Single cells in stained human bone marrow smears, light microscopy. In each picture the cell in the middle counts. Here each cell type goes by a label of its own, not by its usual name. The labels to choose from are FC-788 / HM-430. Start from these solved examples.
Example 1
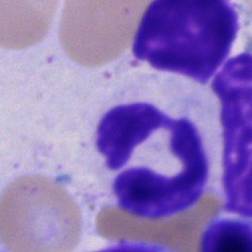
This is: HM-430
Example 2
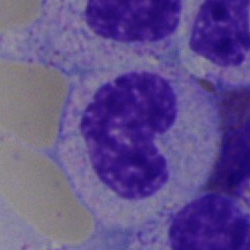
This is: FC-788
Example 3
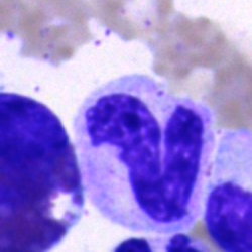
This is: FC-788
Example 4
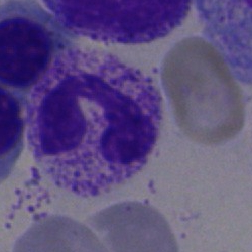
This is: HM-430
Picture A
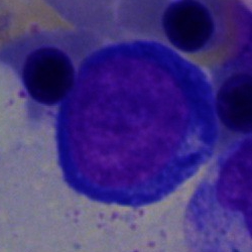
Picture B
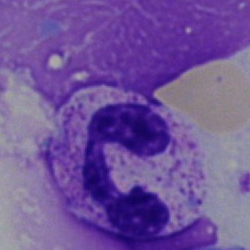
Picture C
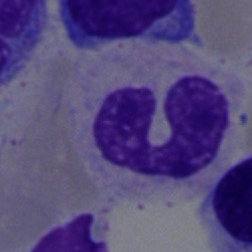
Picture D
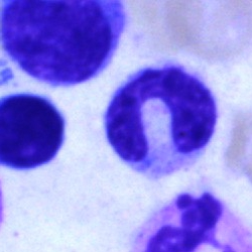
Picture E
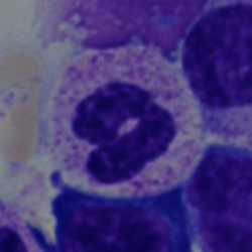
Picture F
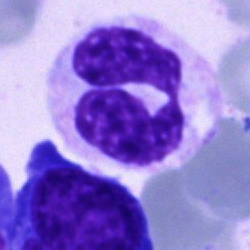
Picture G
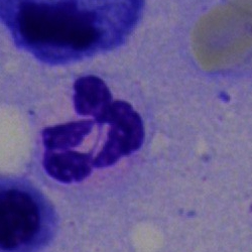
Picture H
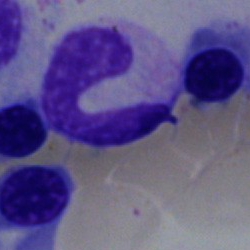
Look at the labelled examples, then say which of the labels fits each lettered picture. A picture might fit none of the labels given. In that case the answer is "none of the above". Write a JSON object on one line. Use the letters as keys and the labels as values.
{"A": "none of the above", "B": "HM-430", "C": "FC-788", "D": "FC-788", "E": "HM-430", "F": "HM-430", "G": "HM-430", "H": "FC-788"}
